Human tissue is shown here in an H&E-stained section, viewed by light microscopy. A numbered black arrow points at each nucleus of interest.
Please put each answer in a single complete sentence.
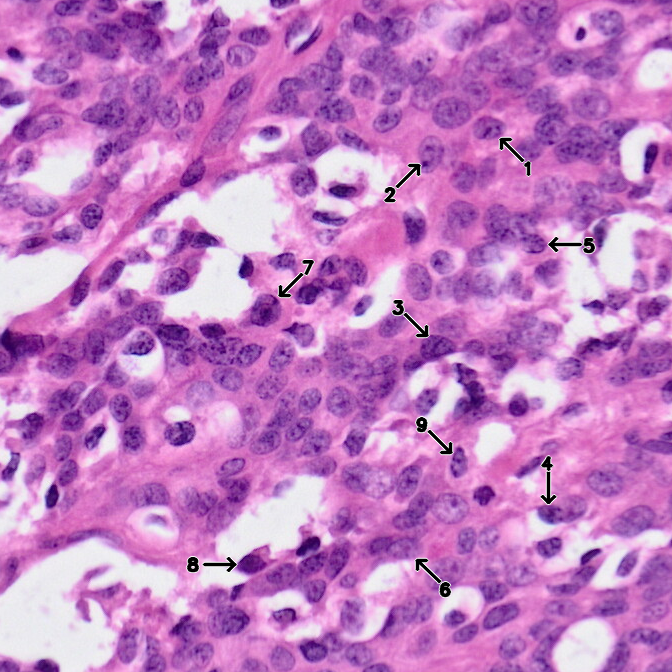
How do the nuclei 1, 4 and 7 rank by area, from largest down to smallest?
Largest first, the order by area is 7, 1, 4.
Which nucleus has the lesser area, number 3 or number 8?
Nucleus 8 covers less area, with nucleus 3 about 1.5 times as large.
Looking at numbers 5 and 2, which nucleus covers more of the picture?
Nucleus 2 is the larger one, covering about 1.5 times the area of nucleus 5.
